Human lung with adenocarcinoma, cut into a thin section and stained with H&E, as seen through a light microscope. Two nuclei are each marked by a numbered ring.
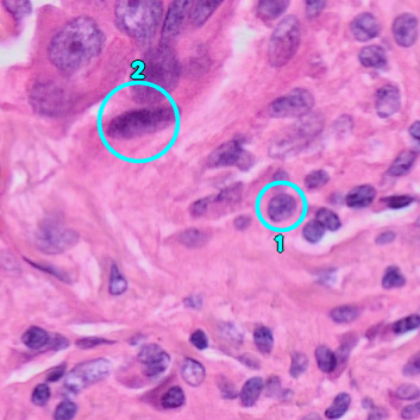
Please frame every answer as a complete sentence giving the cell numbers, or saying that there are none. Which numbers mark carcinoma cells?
In contrast to the remaining marked cells, cell 2 is a carcinoma cell.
